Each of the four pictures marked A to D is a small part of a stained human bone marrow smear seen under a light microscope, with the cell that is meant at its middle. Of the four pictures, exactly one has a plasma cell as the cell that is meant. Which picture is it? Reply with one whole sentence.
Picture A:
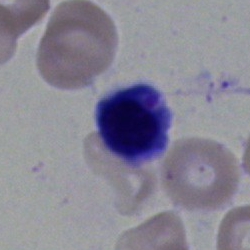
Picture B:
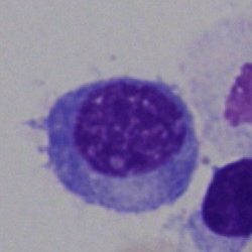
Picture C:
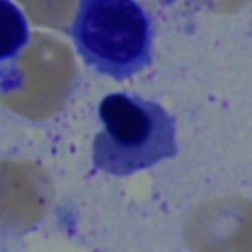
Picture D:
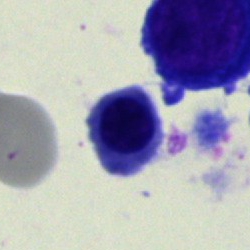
The plasma cell is the one in picture B.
